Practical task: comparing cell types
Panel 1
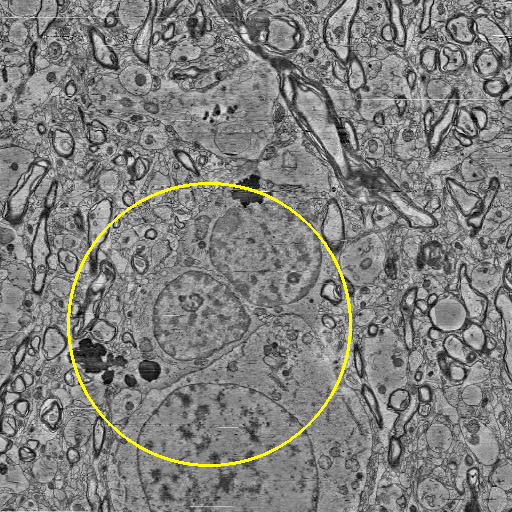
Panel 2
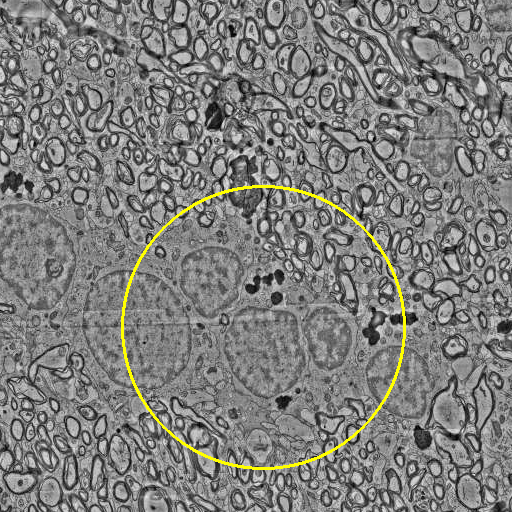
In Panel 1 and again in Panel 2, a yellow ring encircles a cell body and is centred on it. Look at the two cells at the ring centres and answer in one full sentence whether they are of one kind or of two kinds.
The two cells sitting at the ring centres of Panels 1 and 2 are of one kind.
